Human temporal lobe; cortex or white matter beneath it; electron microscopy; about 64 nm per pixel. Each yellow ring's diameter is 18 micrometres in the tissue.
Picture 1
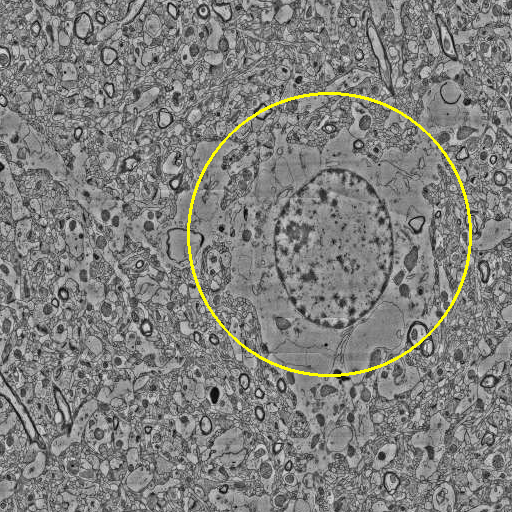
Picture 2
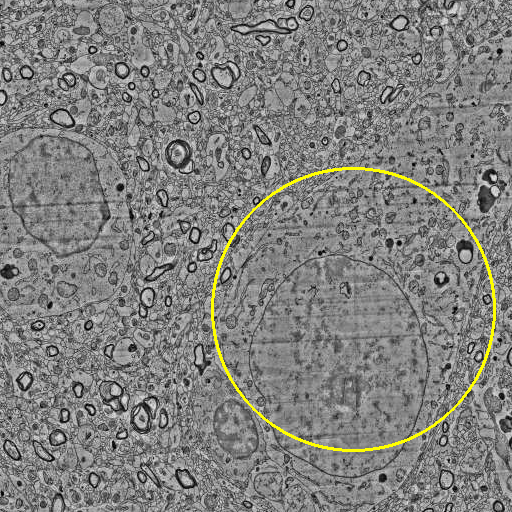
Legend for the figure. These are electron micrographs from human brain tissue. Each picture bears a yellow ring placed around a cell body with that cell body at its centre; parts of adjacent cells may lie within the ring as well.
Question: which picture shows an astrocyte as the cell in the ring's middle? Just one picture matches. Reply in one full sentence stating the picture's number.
It is picture 1 whose yellow ring is centred on the requested cell.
